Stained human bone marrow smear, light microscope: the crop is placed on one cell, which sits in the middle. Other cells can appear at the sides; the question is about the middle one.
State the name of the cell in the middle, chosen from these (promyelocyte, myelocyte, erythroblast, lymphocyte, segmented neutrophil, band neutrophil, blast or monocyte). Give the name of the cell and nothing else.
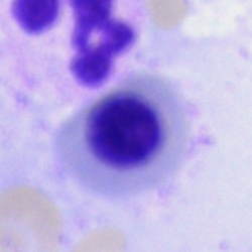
erythroblast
